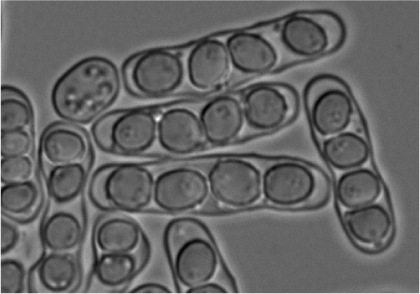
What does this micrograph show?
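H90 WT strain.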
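Mated yeast cells in transmitted light, many of them fused pairs containing spores. Within the fused cells lie rows of round, smooth-walled spores, often four in a line. The fused pairs are elongated or bent where the two partners joined, with no dividing wall visible at the junction.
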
